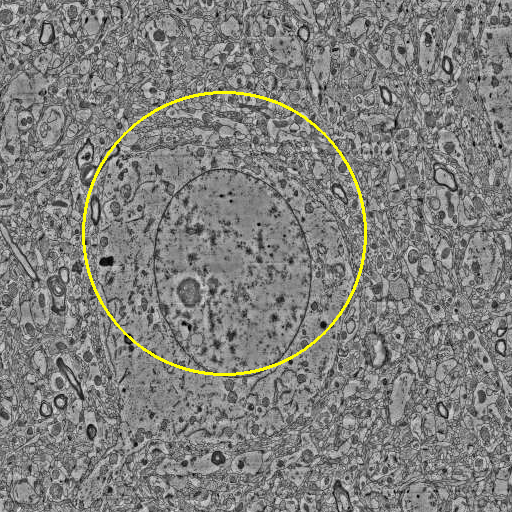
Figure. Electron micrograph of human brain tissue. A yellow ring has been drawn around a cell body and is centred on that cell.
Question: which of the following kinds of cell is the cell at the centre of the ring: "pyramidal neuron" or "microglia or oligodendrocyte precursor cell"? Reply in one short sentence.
The cell at the centre of the ring is a pyramidal neuron.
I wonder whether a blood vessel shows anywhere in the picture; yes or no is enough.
No, the picture includes no blood vessel.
